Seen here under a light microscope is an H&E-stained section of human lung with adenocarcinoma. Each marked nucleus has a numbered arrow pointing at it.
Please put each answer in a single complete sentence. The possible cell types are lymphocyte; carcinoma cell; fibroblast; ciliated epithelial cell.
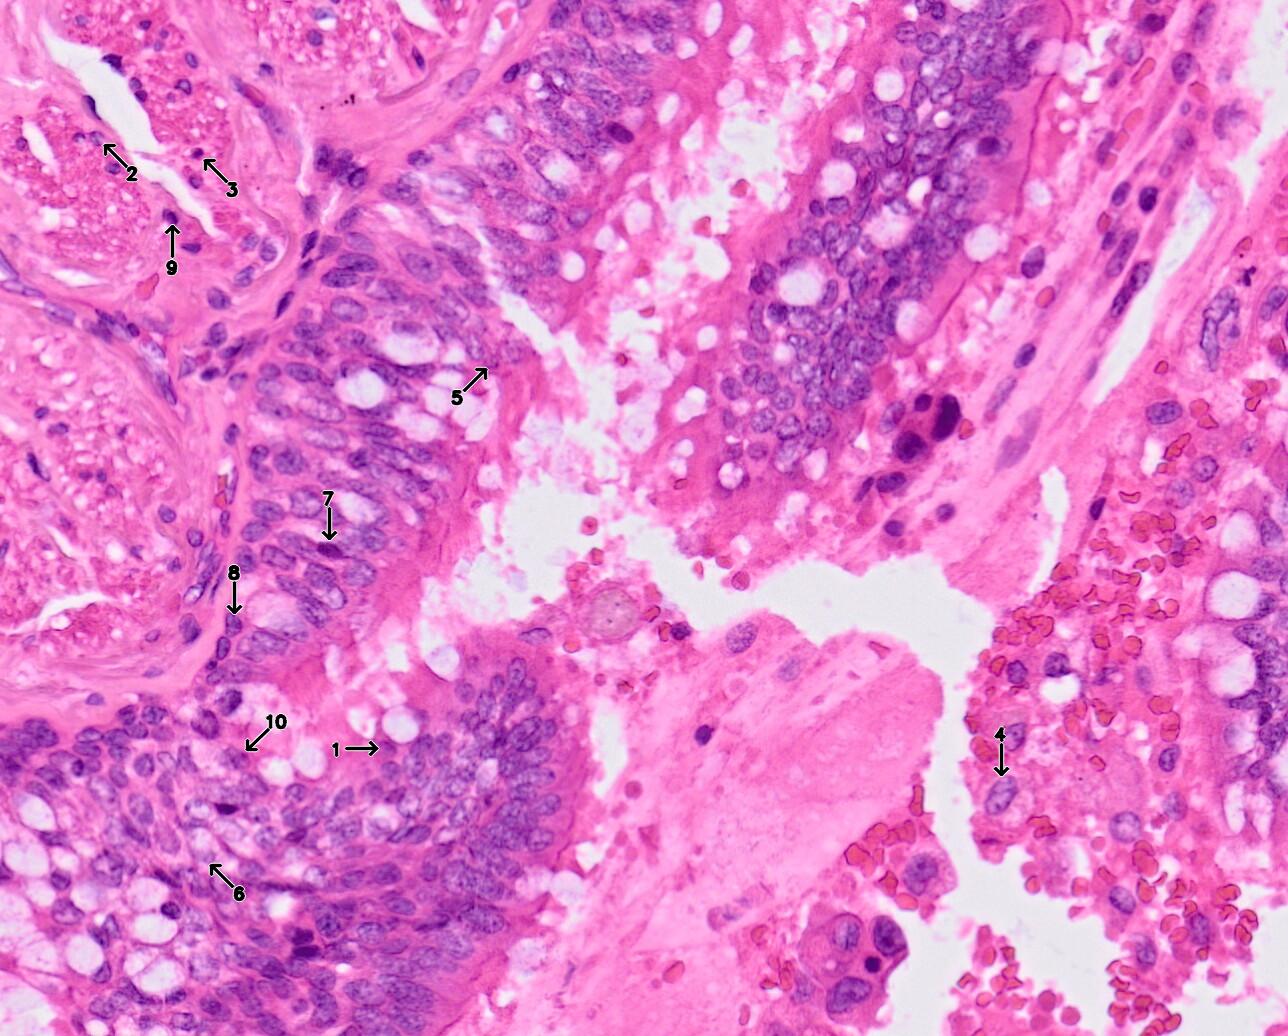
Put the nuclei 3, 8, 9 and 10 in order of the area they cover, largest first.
Largest first, the order by area is 10, 8, 9, 3.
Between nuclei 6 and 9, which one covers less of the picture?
With nucleus 6 about 2 times its size, nucleus 9 is the smaller of the two.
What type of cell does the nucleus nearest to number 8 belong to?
It is a ciliated epithelial cell whose nucleus is nearest to number 8.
